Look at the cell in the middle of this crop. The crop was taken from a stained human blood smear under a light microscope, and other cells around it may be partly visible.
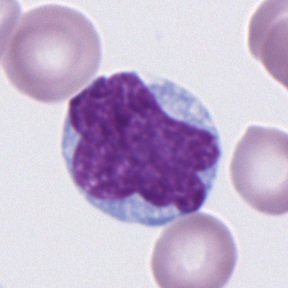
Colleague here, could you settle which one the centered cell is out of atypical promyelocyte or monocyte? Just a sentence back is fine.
The cell in the exact centre of the crop is a monocyte.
